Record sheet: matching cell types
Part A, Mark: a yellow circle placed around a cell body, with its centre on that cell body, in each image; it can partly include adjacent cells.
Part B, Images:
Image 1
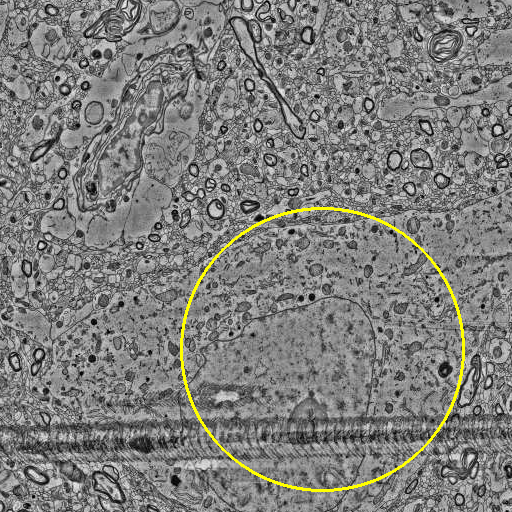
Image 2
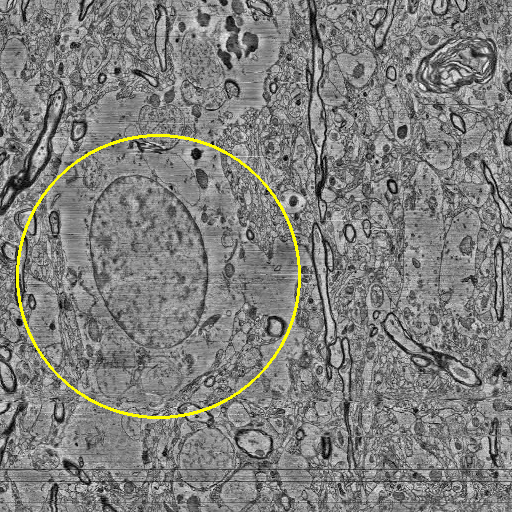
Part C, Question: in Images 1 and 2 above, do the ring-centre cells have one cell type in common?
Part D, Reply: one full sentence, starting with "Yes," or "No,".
No, the ring-centre cells of Image 1 and Image 2 are each of a separate cell type.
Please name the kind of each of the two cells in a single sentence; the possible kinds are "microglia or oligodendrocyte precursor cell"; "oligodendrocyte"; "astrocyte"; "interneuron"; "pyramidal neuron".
In the first picture the ring is centred on a pyramidal neuron, and in the second on an astrocyte.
